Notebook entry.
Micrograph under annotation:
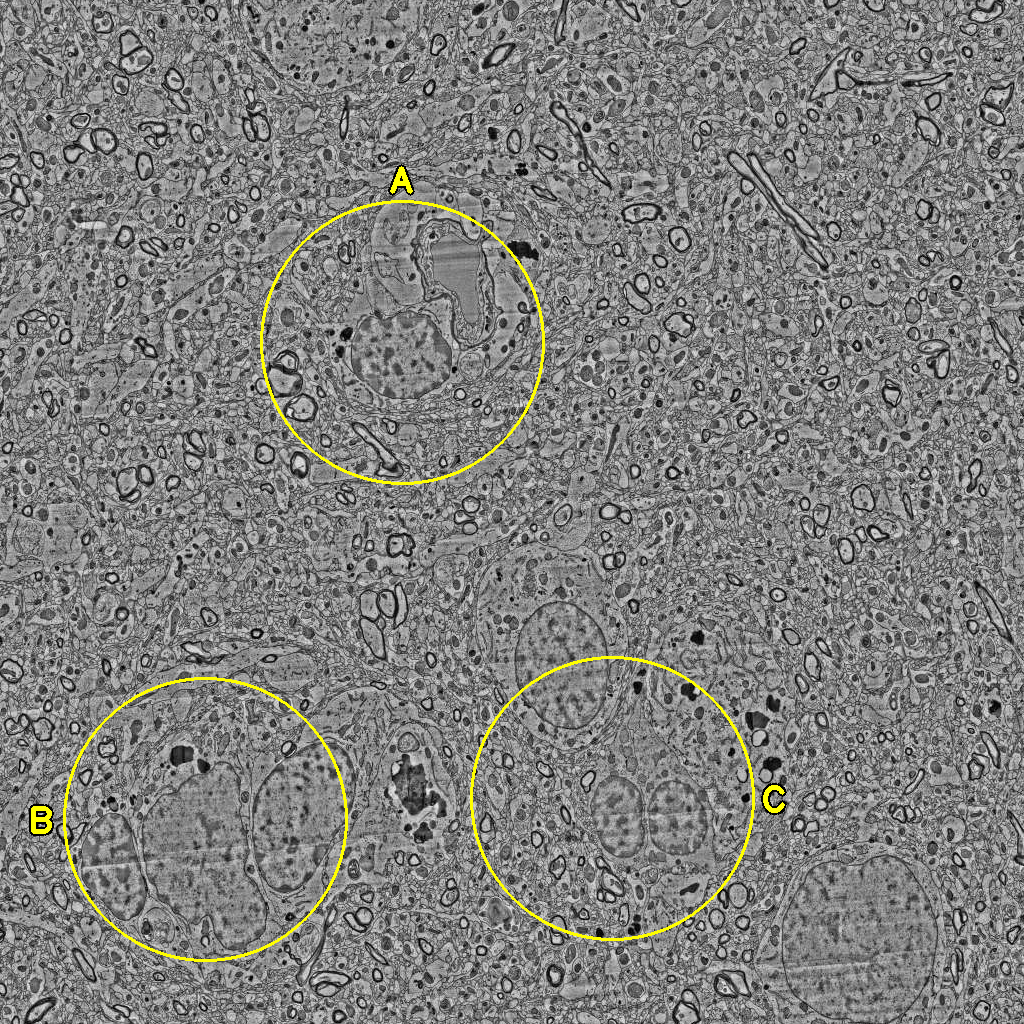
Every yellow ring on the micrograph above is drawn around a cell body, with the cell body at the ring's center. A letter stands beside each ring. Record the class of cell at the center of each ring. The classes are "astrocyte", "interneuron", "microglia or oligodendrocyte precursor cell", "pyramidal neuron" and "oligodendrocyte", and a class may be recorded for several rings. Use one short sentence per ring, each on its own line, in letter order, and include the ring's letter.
Ring A is centered on a microglial cell or oligodendrocyte precursor cell.
Ring B is centered on an interneuron.
Ring C is centered on an oligodendrocyte.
